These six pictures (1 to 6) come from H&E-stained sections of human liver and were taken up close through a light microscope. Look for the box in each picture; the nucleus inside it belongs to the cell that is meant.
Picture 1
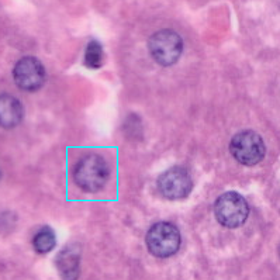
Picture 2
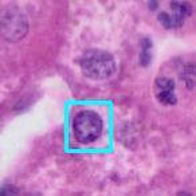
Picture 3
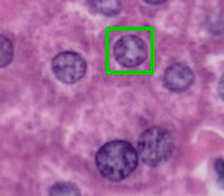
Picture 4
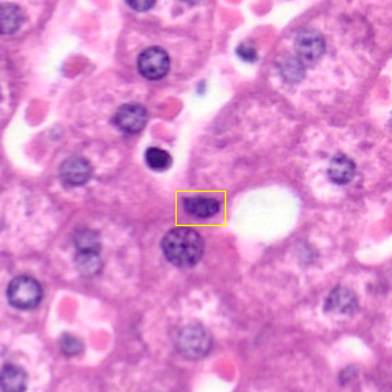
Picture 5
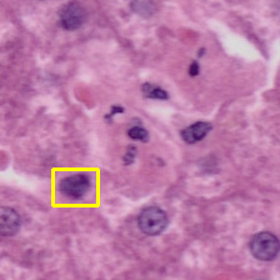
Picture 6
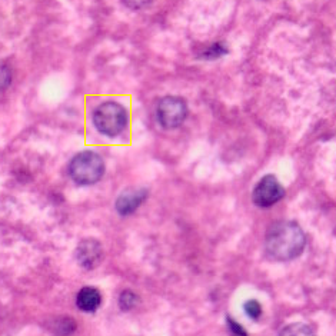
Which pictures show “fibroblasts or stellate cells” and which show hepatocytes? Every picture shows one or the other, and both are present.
1: hepatocyte
2: hepatocyte
3: hepatocyte
4: fibroblast or stellate cell
5: fibroblast or stellate cell
6: hepatocyte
